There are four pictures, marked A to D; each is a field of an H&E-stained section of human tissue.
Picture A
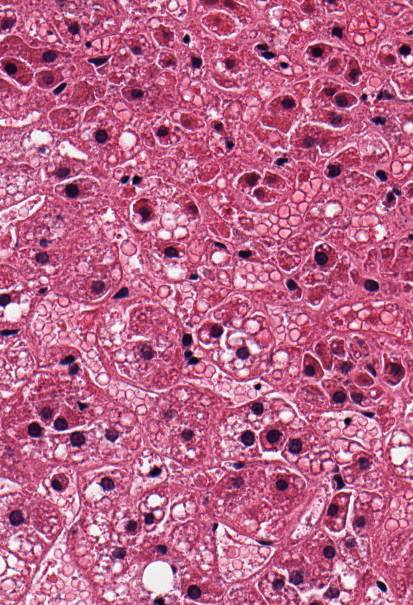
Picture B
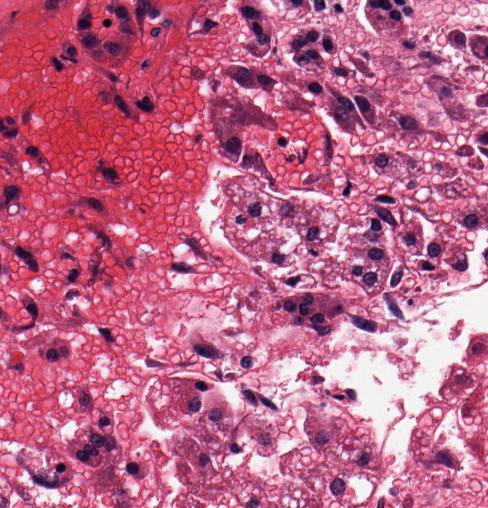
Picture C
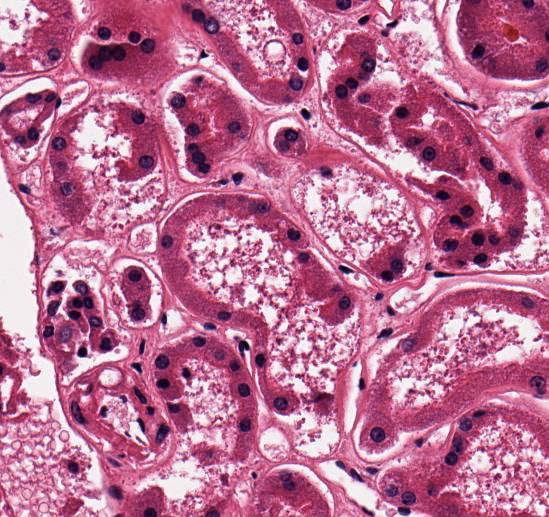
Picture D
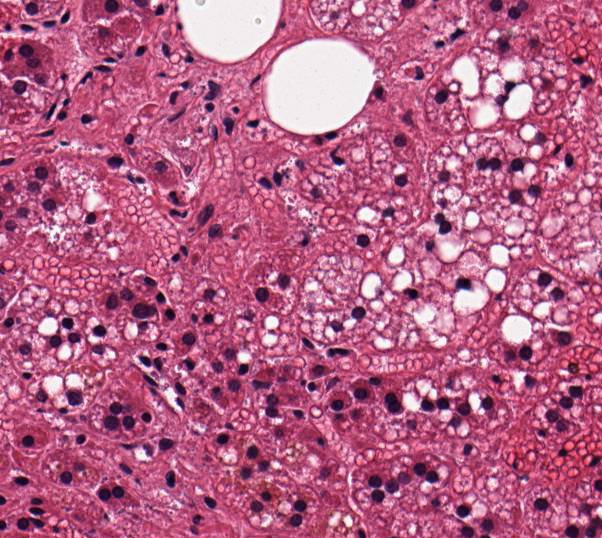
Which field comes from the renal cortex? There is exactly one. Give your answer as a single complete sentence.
The one that comes from the renal cortex is picture C.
